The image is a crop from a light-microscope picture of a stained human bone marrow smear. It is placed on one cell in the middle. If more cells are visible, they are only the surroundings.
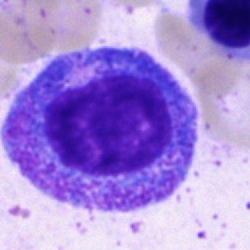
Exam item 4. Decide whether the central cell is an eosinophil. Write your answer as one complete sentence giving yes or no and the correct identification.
No, in this crop the middle cell is a promyelocyte, not an eosinophil.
